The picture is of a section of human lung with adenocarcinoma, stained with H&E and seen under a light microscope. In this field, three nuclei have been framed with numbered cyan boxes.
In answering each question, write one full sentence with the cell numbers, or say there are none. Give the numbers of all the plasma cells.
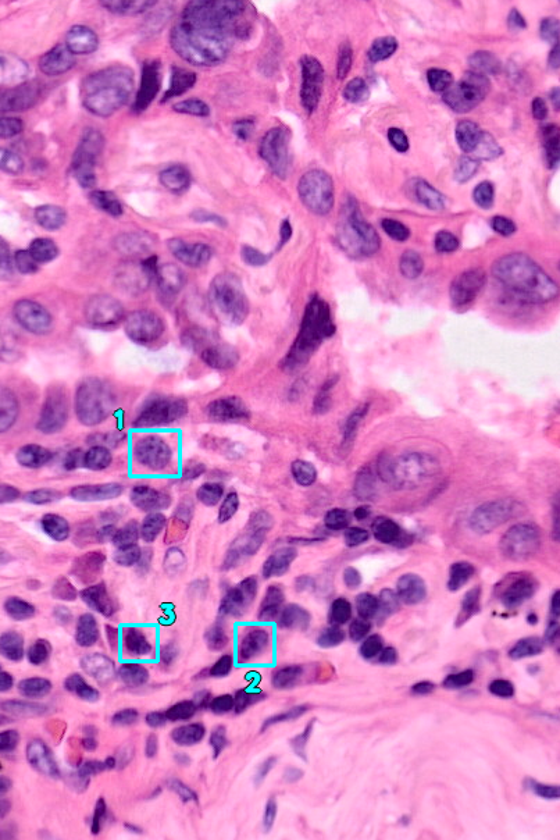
By cell type, the cells numbered 2 and 3 are plasma cells.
